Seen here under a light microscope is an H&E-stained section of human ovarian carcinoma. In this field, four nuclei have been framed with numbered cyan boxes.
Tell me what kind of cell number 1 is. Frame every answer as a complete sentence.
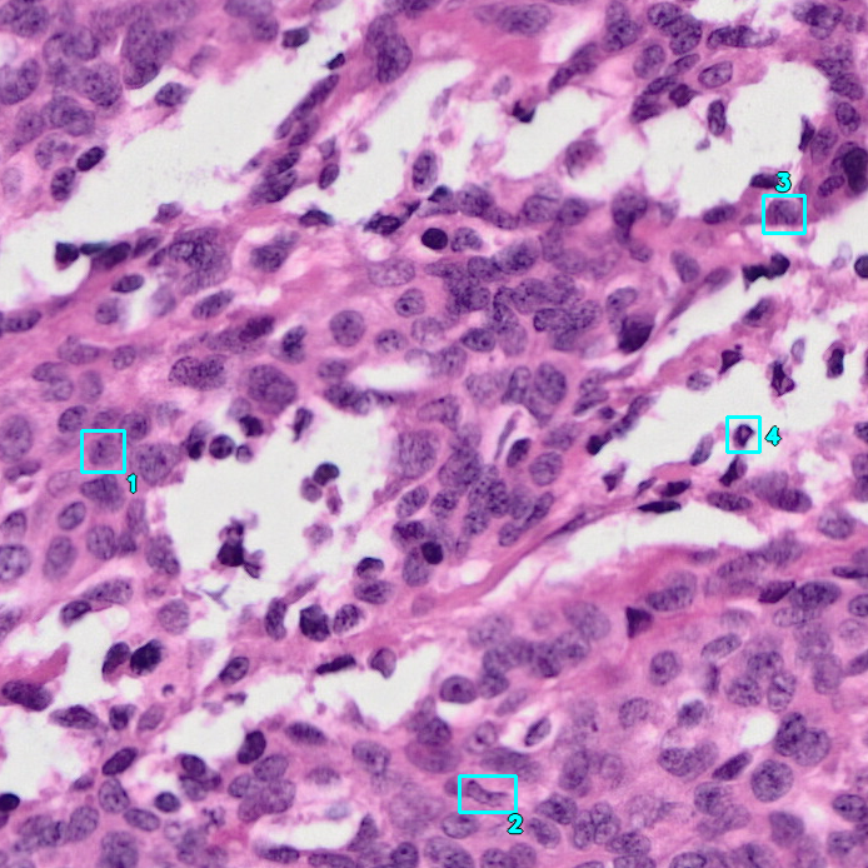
Classified as a carcinoma cell is the cell with the number 1.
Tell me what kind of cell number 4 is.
Nucleus 4 in this section belongs to a carcinoma cell.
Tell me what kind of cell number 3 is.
Number 3 among the marked cells is a carcinoma cell.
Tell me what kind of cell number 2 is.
The label 2 in this section denotes a macrophage or monocyte.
